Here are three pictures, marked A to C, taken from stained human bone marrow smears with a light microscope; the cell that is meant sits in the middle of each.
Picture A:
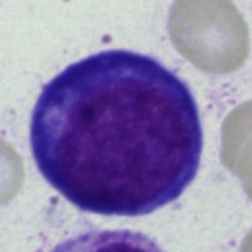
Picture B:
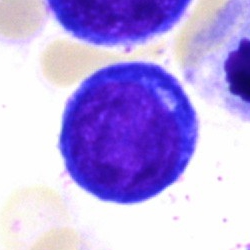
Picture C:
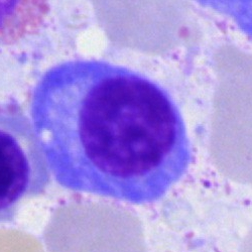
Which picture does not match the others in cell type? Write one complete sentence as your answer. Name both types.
All pictures except C show proerythroblasts; picture C shows a plasma cell.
